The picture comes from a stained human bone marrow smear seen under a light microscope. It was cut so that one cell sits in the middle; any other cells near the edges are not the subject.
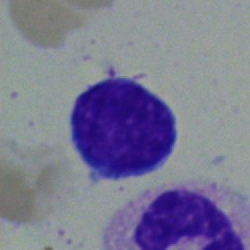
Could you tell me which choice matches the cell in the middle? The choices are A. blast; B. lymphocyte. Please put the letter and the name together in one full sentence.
The cell positioned centrally is a lymphocyte, as given in option B, which is correct.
